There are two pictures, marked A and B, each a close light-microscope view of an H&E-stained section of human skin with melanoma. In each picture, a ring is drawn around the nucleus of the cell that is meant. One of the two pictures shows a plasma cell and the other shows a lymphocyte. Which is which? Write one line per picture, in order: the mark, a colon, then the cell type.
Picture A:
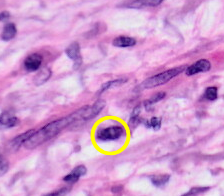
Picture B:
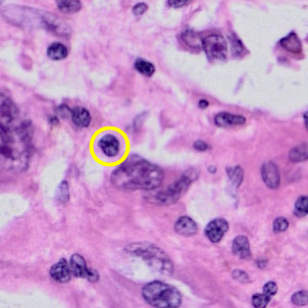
A: plasma cell
B: lymphocyte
